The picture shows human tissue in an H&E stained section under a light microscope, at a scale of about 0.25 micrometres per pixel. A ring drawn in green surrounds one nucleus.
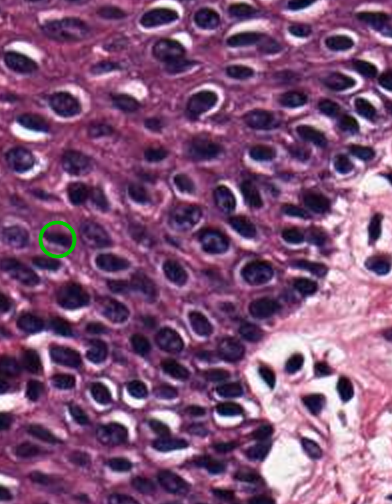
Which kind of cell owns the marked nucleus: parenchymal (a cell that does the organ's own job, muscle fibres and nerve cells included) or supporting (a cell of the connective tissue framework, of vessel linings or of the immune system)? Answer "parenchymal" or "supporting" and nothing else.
parenchymal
